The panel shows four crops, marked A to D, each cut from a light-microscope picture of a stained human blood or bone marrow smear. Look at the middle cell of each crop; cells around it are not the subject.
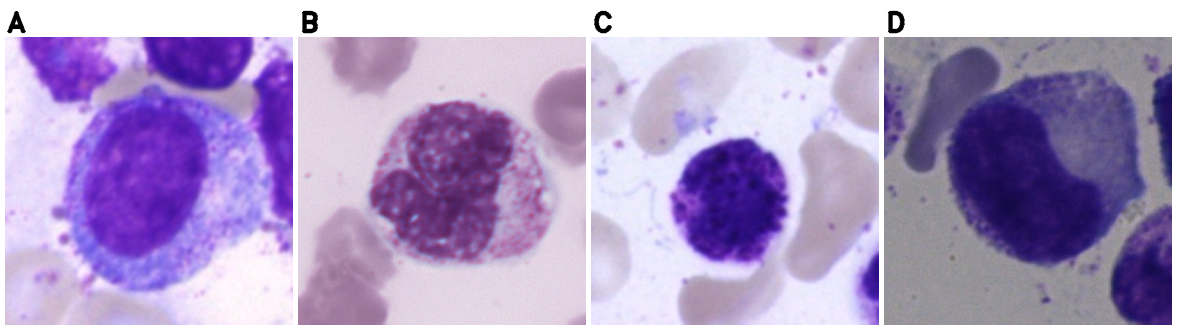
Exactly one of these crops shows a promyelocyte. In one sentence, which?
Of these crops, it is crop A that shows a promyelocyte.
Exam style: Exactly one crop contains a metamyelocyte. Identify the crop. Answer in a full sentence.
Of these crops, it is crop D that shows a metamyelocyte.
